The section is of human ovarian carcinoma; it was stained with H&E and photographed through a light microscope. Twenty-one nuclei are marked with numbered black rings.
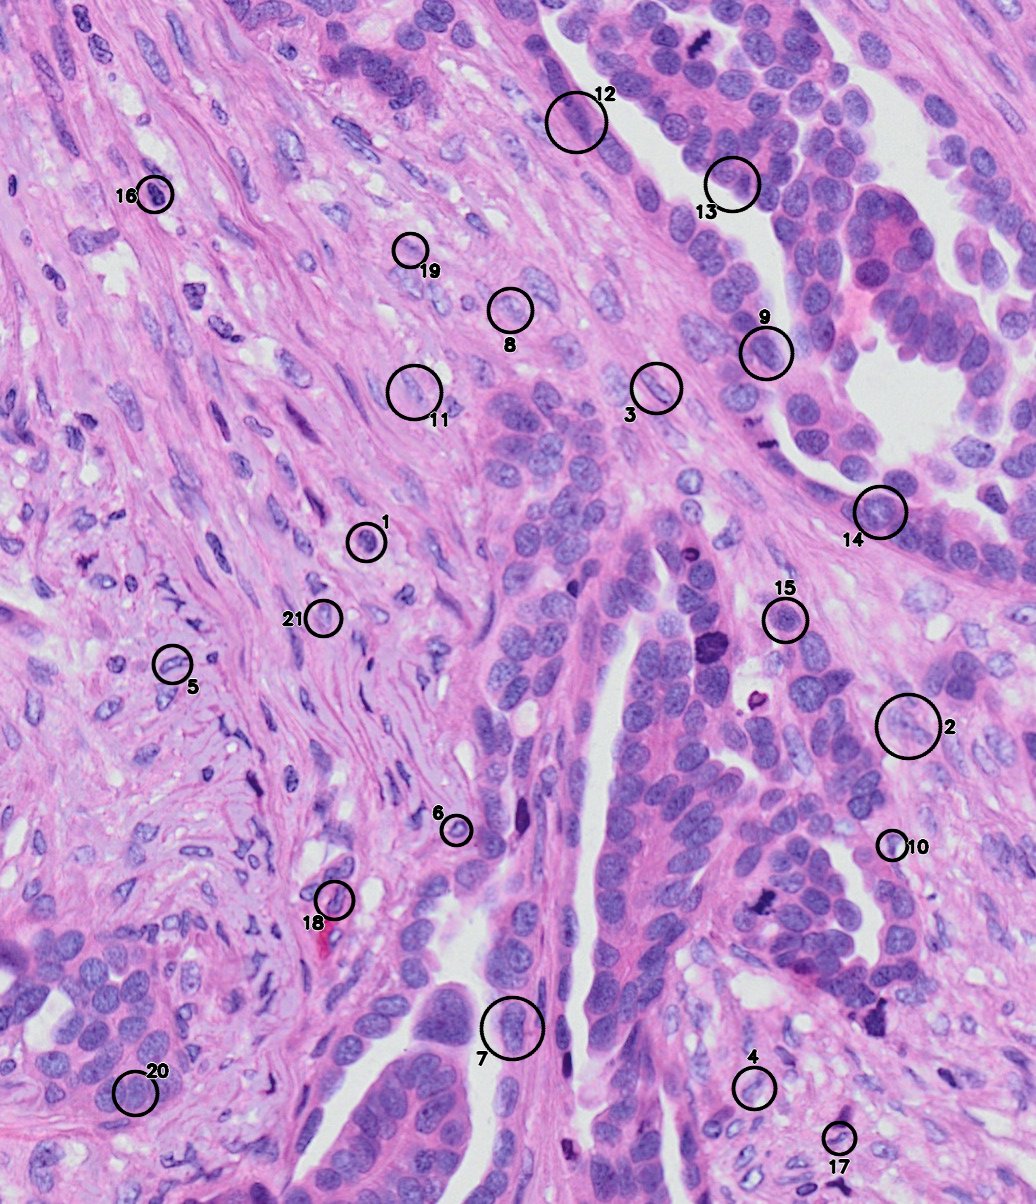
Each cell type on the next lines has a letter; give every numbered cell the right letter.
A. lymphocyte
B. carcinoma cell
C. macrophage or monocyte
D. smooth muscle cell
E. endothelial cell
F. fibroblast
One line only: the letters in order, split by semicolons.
A; F; F; F; F; C; B; F; B; F; F; B; B; B; B; A; F; E; F; B; F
